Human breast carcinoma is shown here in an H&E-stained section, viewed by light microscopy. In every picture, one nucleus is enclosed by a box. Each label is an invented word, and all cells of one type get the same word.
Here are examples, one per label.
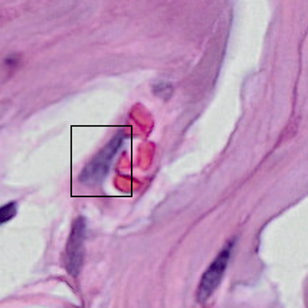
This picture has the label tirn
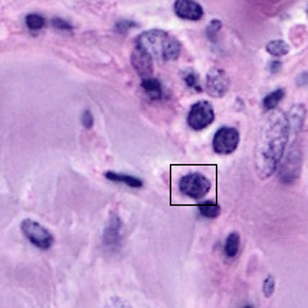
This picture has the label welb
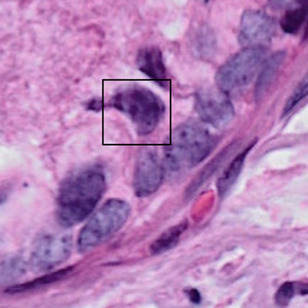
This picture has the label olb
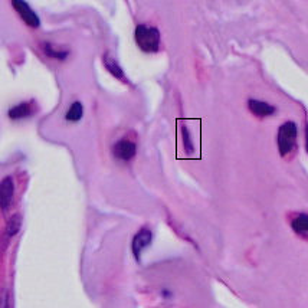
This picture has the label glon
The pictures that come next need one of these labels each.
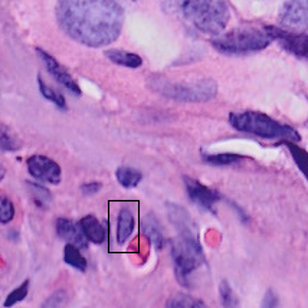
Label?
tirn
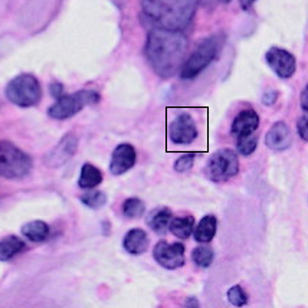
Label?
welb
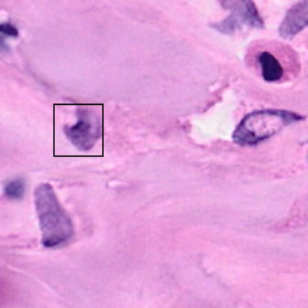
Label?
glon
